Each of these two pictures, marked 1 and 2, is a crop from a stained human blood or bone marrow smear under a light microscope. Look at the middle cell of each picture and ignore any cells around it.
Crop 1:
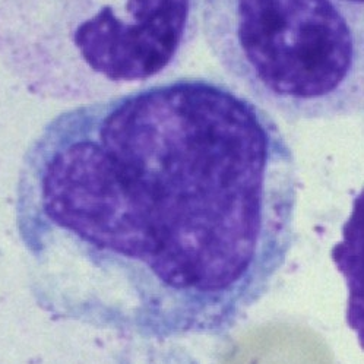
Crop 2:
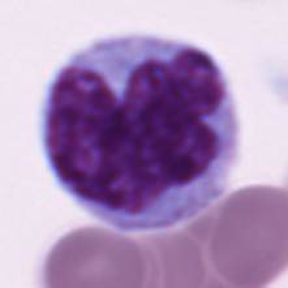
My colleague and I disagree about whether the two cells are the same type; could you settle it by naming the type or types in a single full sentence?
Yes, both crops contain monocytes at their centres.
